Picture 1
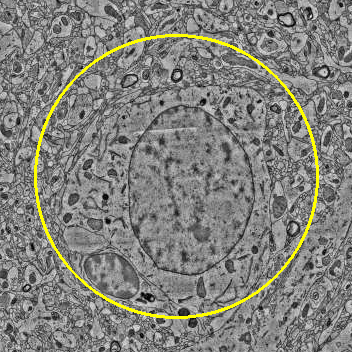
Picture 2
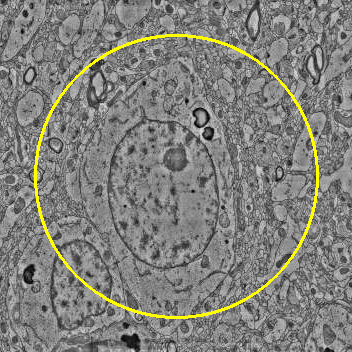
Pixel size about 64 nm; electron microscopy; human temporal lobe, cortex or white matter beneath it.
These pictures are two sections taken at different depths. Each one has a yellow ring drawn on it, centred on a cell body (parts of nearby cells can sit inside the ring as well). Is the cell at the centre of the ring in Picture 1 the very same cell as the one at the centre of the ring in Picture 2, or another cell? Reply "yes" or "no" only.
no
